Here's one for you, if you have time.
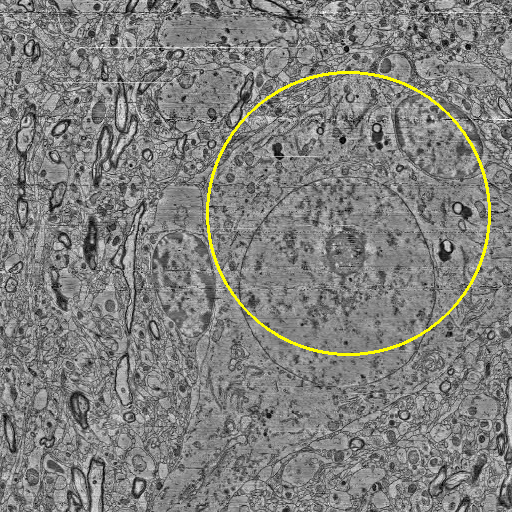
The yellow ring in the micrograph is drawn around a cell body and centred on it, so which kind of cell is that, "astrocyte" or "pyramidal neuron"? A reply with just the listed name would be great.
pyramidal neuron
